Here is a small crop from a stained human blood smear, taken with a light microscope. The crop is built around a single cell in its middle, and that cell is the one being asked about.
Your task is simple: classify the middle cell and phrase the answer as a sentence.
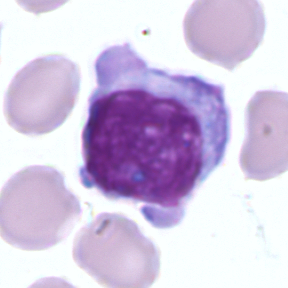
The cell at the central position in this crop is a plasma cell.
